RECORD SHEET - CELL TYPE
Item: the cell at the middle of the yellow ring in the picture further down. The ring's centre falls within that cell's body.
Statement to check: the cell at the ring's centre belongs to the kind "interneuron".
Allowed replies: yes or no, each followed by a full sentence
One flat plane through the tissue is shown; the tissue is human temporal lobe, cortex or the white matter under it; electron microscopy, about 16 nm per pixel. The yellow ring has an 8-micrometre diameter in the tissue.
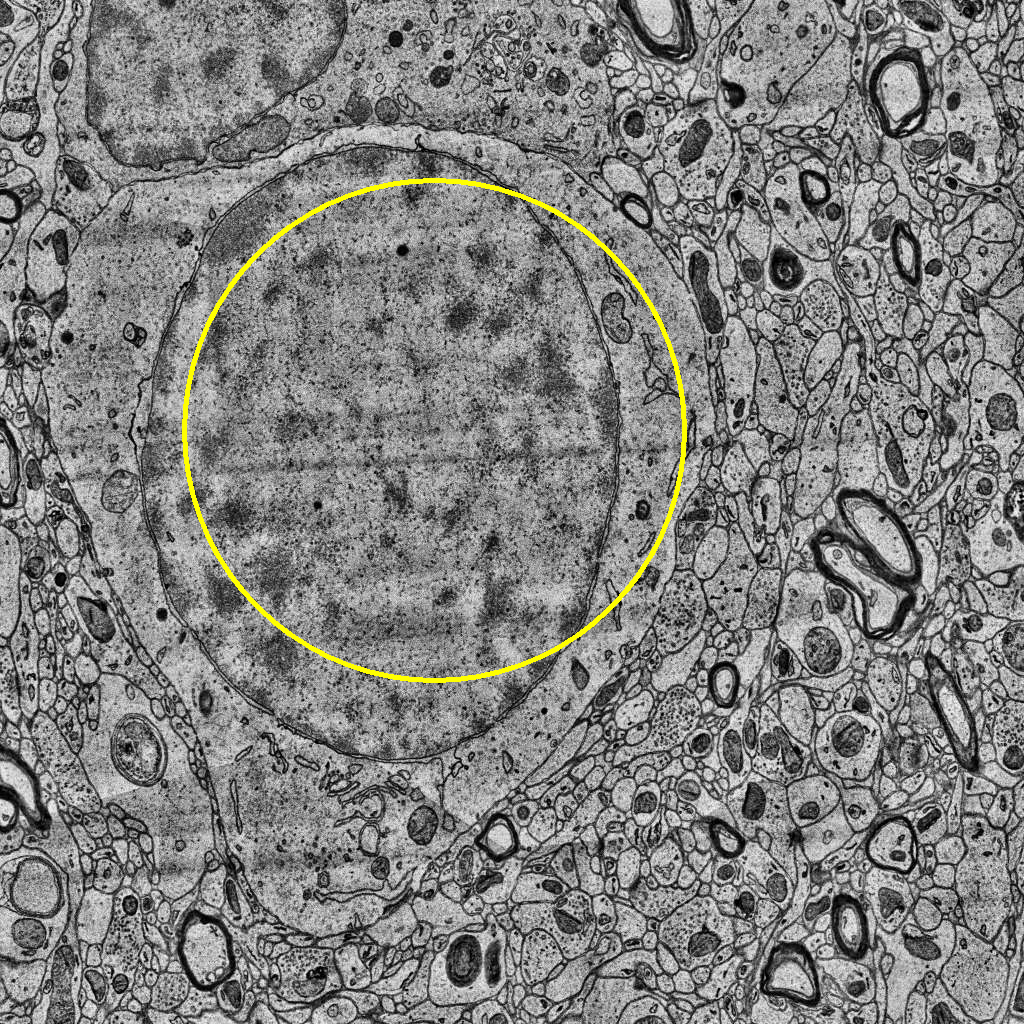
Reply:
Yes, the cell whose body contains the centre of the ring in the picture is of that kind.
